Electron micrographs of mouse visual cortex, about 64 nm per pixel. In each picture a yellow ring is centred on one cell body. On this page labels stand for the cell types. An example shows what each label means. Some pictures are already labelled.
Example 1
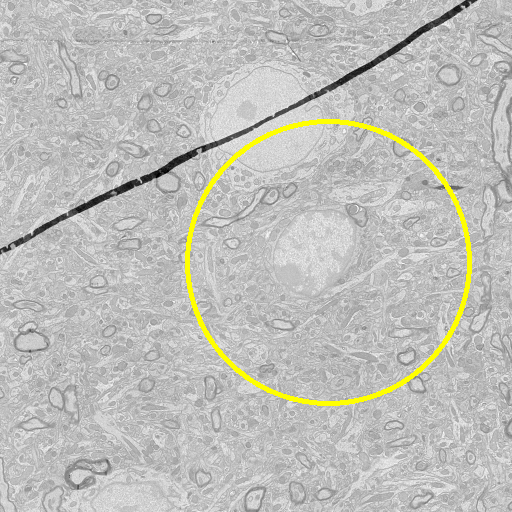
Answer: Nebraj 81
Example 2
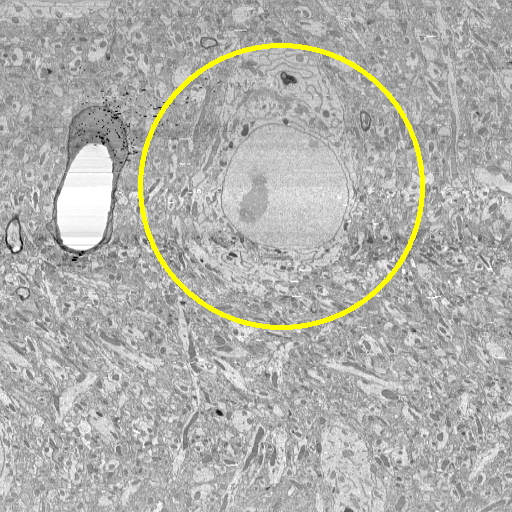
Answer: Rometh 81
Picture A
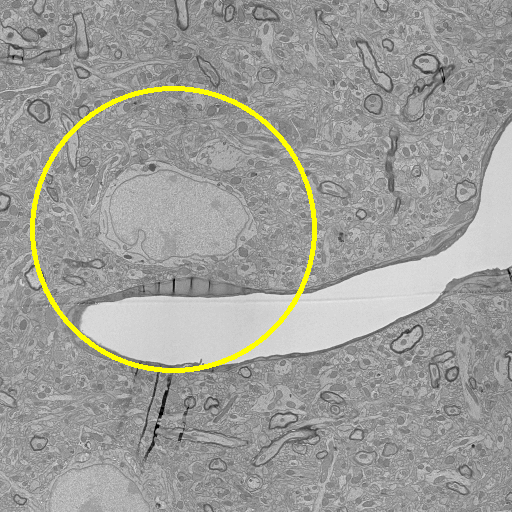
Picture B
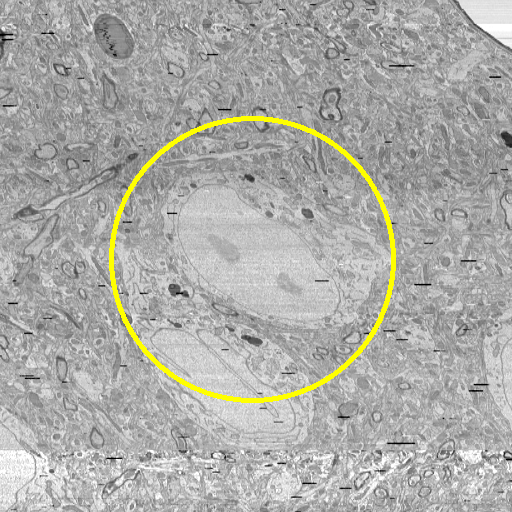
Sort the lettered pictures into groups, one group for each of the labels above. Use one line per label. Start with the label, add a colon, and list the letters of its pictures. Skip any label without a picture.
Rometh 81: A, B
